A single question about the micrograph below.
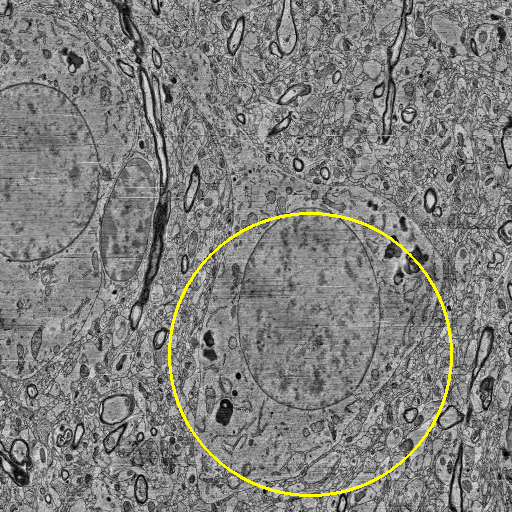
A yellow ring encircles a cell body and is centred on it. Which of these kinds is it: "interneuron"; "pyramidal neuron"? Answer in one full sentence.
The cell body at the centre of the yellow ring belongs to a pyramidal neuron.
